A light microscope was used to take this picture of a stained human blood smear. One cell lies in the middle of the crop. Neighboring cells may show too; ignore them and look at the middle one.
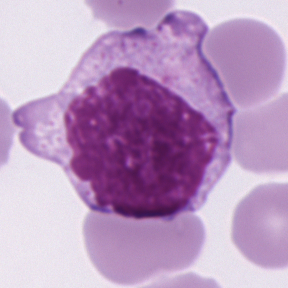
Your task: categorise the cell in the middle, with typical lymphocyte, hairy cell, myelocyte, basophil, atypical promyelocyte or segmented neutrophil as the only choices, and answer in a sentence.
Occupying the centre of the crop is a myelocyte.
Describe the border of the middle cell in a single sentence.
An uneven margin is present, with either ragged stretches or outward projections.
